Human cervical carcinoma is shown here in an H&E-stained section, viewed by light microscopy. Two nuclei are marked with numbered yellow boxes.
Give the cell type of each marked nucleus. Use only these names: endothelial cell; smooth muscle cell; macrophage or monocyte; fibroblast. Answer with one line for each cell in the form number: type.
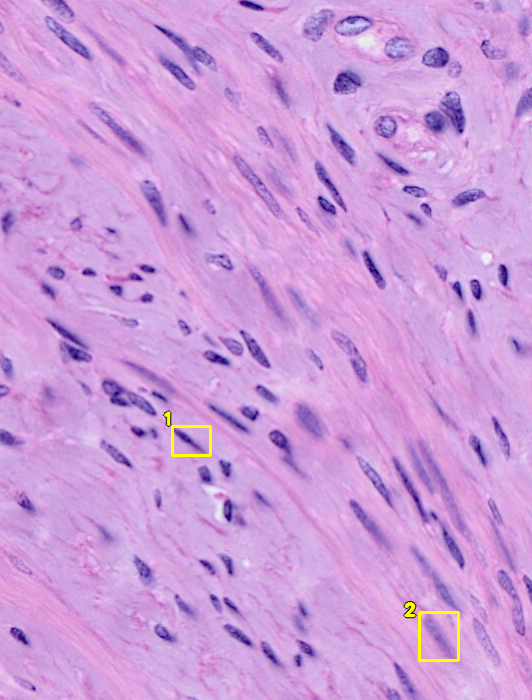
1: fibroblast
2: smooth muscle cell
